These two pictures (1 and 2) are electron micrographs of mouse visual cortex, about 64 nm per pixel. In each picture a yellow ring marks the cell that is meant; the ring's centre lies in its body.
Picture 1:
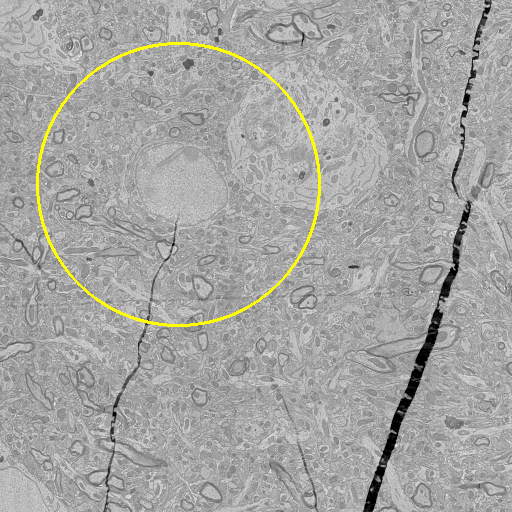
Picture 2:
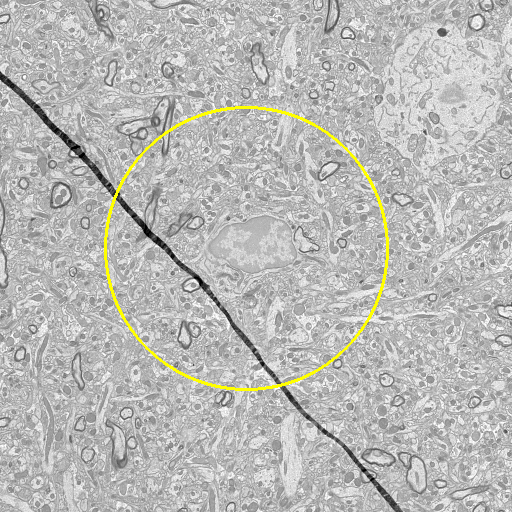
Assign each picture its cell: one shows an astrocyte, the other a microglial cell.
Picture 2 shows a microglial cell, while picture 1 shows an astrocyte.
